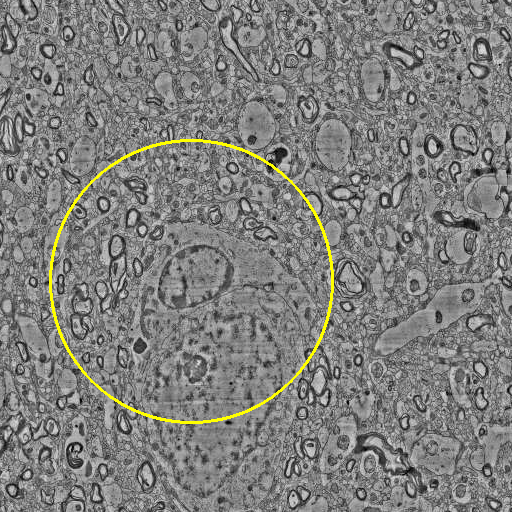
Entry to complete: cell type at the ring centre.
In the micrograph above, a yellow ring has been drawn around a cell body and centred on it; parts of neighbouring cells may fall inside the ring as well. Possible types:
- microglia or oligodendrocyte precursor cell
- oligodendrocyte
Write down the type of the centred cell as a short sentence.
The ring is centred on a microglial cell or oligodendrocyte precursor cell.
